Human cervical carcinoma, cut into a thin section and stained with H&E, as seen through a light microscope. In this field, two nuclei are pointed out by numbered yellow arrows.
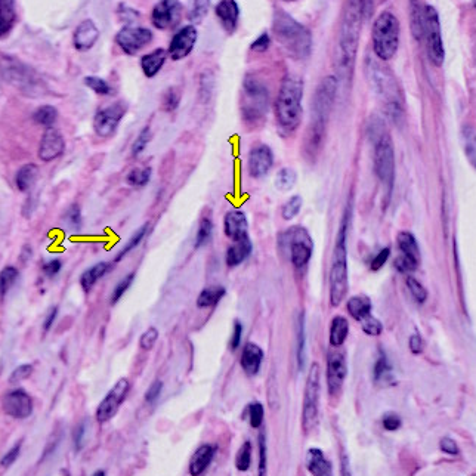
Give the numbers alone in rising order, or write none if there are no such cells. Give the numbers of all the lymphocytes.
1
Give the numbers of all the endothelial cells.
none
